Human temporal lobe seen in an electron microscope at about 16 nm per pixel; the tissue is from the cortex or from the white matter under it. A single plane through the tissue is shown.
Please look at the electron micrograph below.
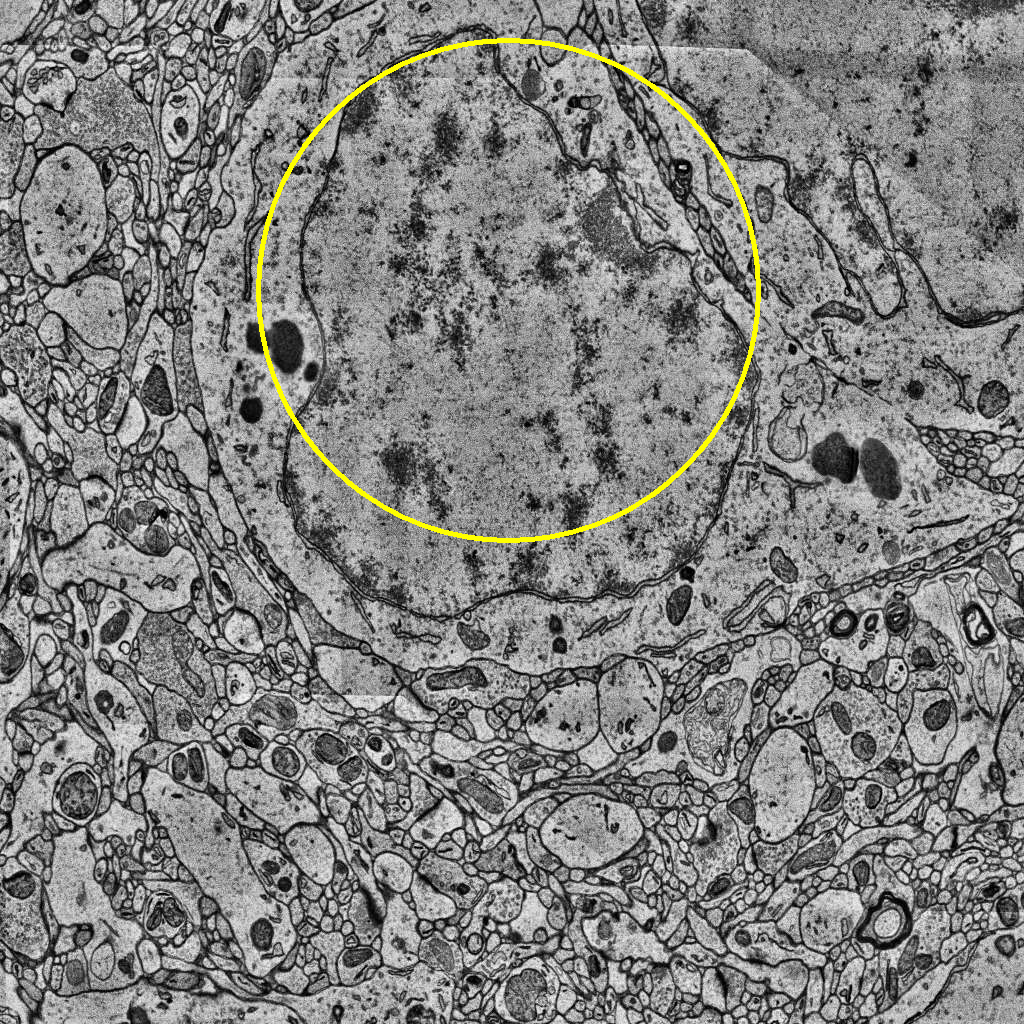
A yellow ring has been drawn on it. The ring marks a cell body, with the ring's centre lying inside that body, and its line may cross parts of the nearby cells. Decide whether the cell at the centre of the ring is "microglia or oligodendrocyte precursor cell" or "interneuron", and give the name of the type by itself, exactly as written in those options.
interneuron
